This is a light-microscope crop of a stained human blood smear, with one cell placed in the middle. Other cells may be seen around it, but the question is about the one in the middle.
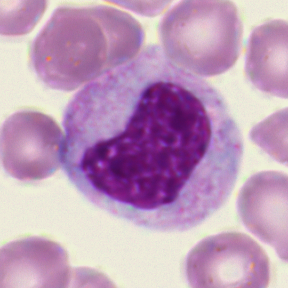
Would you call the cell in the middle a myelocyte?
no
